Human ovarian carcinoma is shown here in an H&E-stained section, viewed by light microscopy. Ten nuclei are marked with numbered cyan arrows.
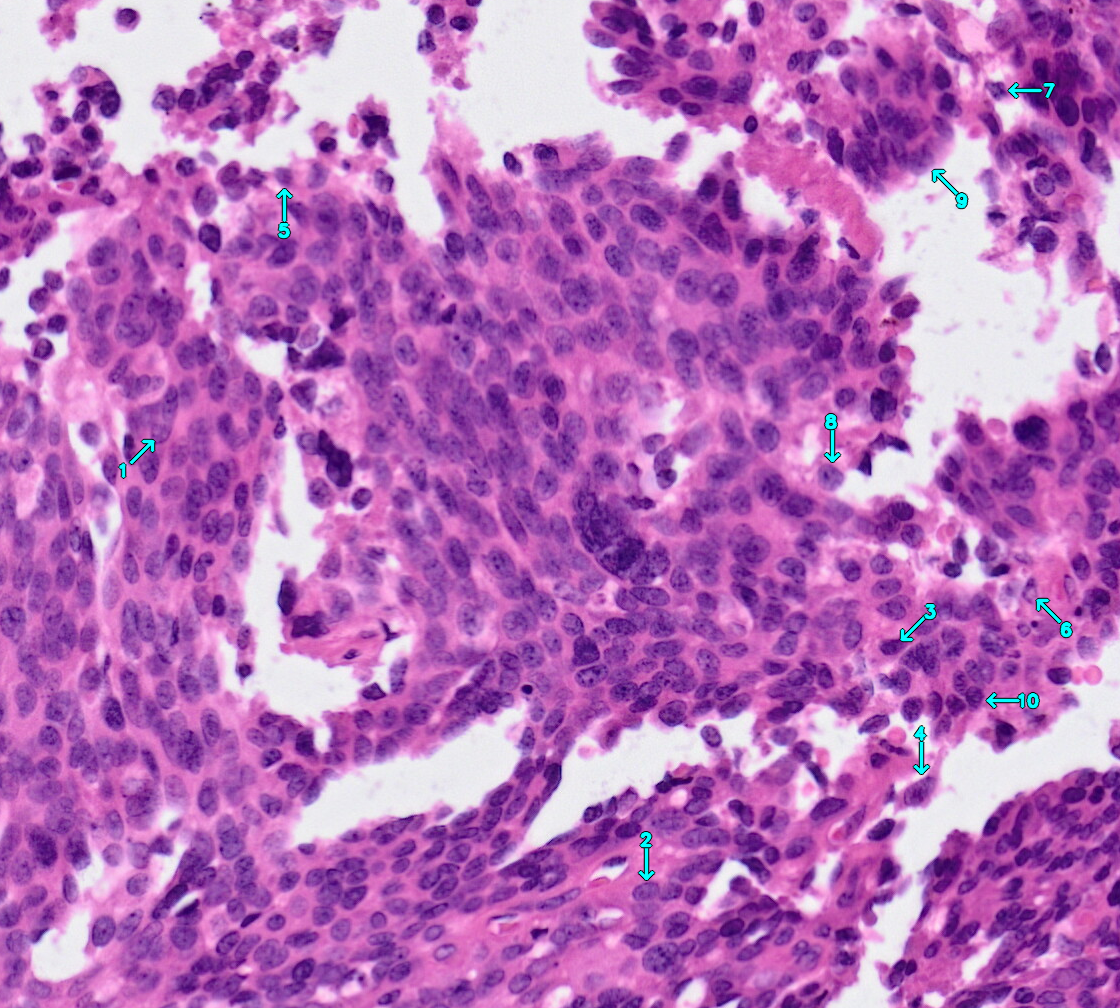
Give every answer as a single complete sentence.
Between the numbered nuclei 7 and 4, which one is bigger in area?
It is nucleus 4, which covers about 2 times the area of nucleus 7.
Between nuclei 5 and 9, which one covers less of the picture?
The smaller nucleus is 5, and 9 covers roughly 1.5 times its area.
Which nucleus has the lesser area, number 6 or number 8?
Number 6 is smaller, since number 8 takes up about 2 times as much area.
